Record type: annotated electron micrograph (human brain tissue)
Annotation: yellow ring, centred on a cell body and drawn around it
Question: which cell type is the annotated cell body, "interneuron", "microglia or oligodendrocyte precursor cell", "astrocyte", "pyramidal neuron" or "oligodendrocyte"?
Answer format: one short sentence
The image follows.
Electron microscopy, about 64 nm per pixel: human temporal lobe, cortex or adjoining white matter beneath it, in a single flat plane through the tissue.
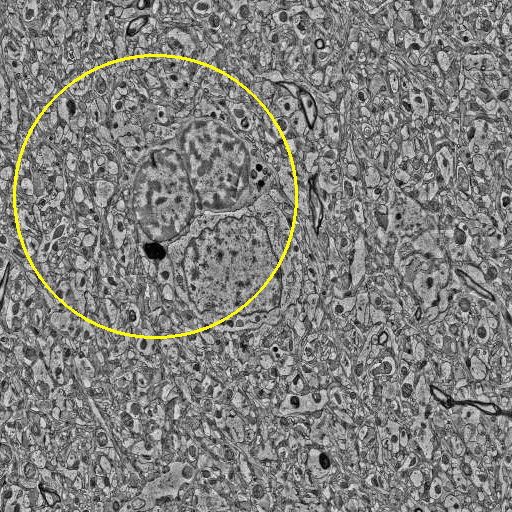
The annotated cell body is that of an oligodendrocyte.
